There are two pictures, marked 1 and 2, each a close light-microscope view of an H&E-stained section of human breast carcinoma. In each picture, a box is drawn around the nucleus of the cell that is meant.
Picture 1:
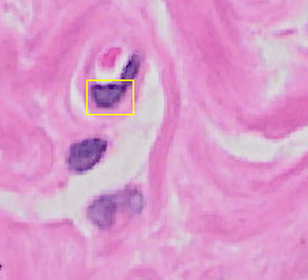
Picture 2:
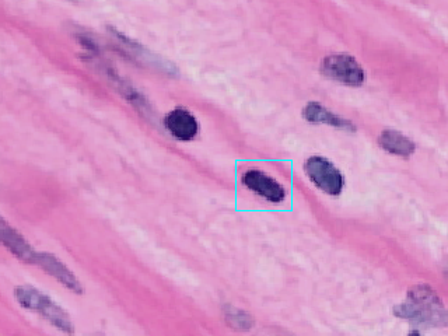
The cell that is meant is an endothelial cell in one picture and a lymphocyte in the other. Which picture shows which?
1: endothelial cell
2: lymphocyte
